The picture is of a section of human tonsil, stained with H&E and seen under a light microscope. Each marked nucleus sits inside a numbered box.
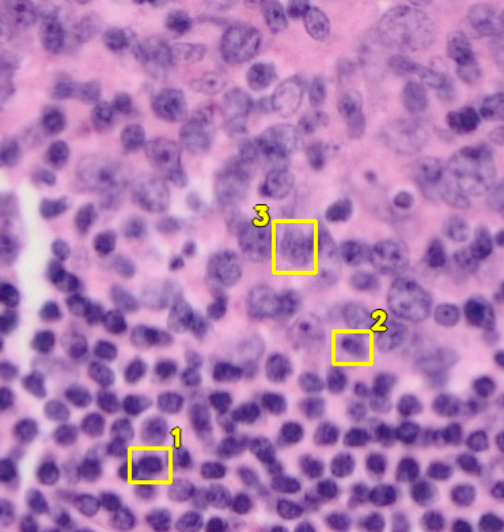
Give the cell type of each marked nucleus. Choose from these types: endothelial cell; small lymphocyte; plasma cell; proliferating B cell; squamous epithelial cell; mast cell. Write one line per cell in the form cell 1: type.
cell 1: small lymphocyte
cell 2: proliferating B cell
cell 3: proliferating B cell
